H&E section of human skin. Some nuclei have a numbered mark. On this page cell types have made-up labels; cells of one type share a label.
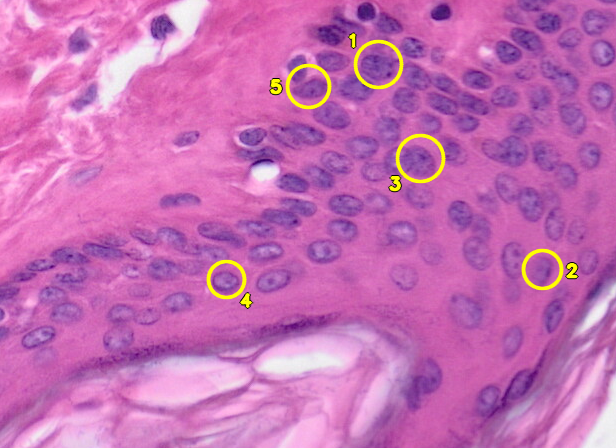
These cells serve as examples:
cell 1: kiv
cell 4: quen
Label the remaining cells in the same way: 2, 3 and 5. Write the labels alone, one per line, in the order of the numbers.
quen
quen
kiv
